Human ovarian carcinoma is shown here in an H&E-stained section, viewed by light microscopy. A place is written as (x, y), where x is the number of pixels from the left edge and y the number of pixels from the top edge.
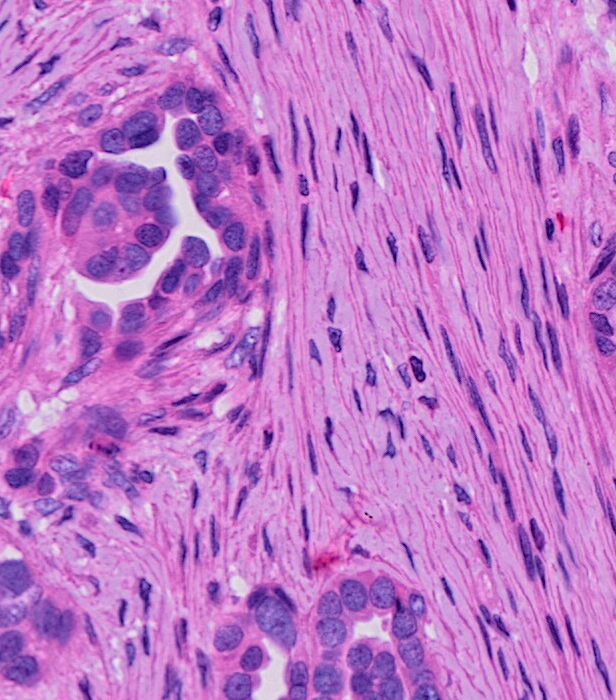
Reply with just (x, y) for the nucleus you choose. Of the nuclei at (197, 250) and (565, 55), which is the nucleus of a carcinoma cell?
(197, 250)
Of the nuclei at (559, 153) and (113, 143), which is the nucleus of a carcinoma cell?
(113, 143)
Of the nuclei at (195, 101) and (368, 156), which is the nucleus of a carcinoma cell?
(195, 101)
